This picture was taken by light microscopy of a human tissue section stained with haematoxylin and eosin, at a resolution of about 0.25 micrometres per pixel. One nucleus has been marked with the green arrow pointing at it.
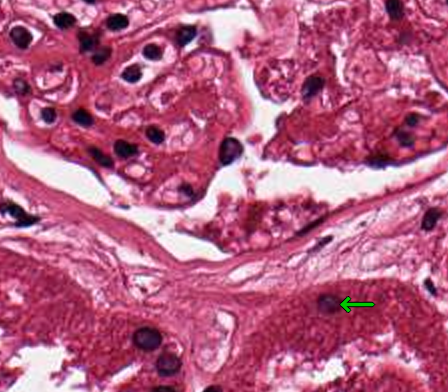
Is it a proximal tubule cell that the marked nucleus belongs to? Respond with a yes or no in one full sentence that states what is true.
Yes, in this section the marked nucleus belongs to a proximal tubule cell.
